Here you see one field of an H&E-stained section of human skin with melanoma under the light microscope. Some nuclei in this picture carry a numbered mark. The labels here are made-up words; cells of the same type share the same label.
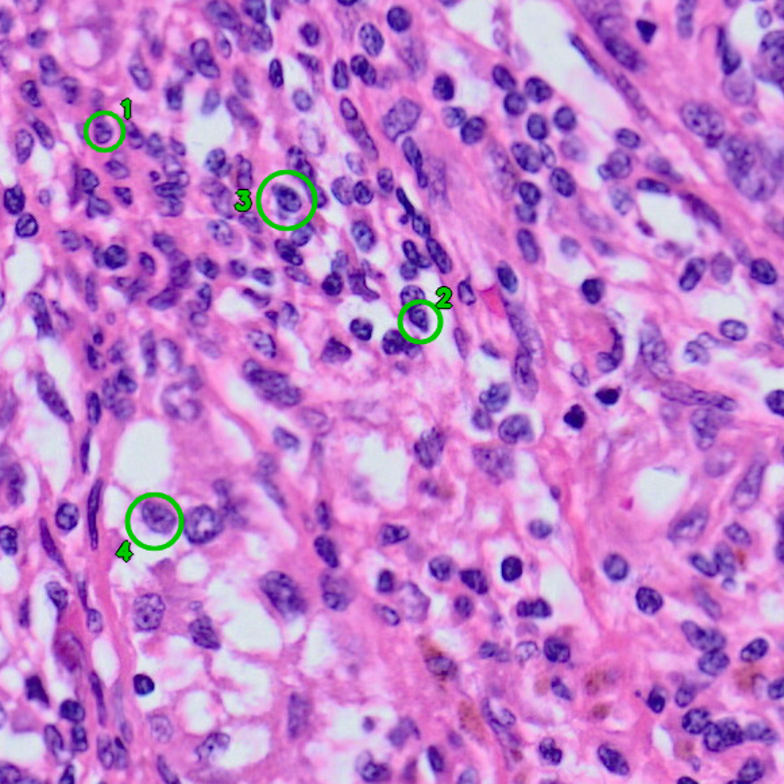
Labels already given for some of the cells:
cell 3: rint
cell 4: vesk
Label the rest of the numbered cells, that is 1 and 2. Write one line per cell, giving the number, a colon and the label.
1: rint
2: rint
